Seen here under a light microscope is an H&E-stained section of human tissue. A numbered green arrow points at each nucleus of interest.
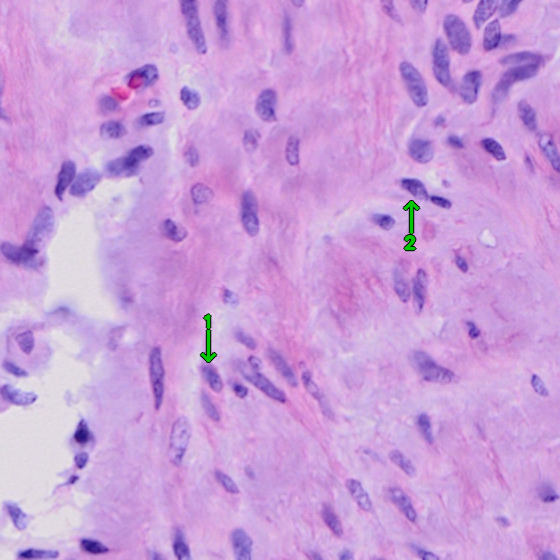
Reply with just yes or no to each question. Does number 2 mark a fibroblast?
yes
